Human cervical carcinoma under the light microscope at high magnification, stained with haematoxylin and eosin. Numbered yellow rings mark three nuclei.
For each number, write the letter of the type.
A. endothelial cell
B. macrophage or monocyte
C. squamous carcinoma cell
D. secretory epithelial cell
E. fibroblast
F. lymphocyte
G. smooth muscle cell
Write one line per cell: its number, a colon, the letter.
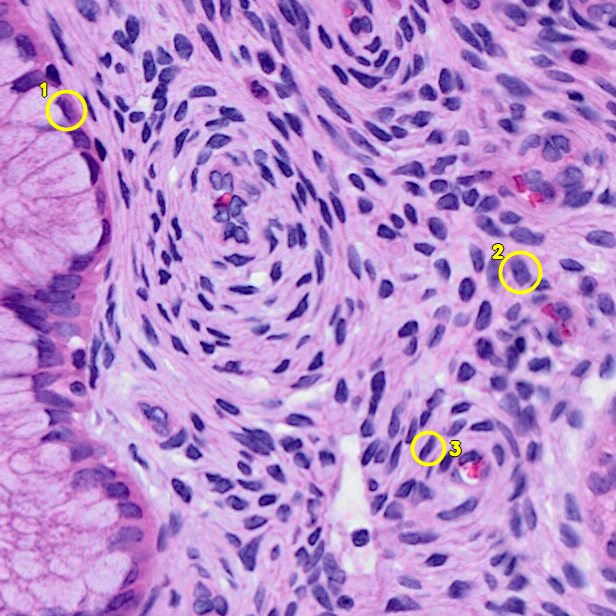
1: D
2: E
3: E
